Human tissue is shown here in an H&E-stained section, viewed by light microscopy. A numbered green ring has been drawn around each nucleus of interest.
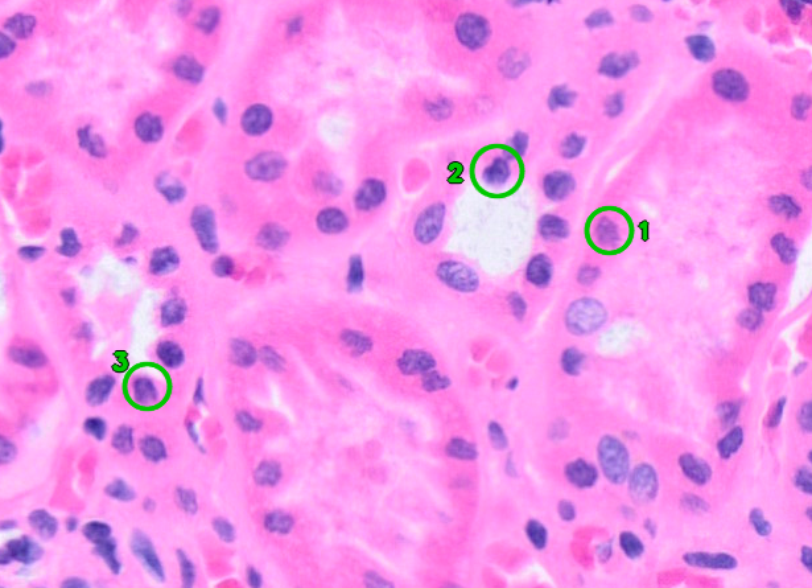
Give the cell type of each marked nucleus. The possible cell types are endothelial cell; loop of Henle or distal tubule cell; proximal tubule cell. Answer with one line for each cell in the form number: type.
1: proximal tubule cell
2: loop of Henle or distal tubule cell
3: loop of Henle or distal tubule cell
